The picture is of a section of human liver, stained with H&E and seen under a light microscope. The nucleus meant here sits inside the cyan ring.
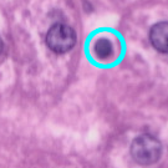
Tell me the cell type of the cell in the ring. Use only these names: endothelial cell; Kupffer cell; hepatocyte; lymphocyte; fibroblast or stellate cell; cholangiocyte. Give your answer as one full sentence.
This is a lymphocyte.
